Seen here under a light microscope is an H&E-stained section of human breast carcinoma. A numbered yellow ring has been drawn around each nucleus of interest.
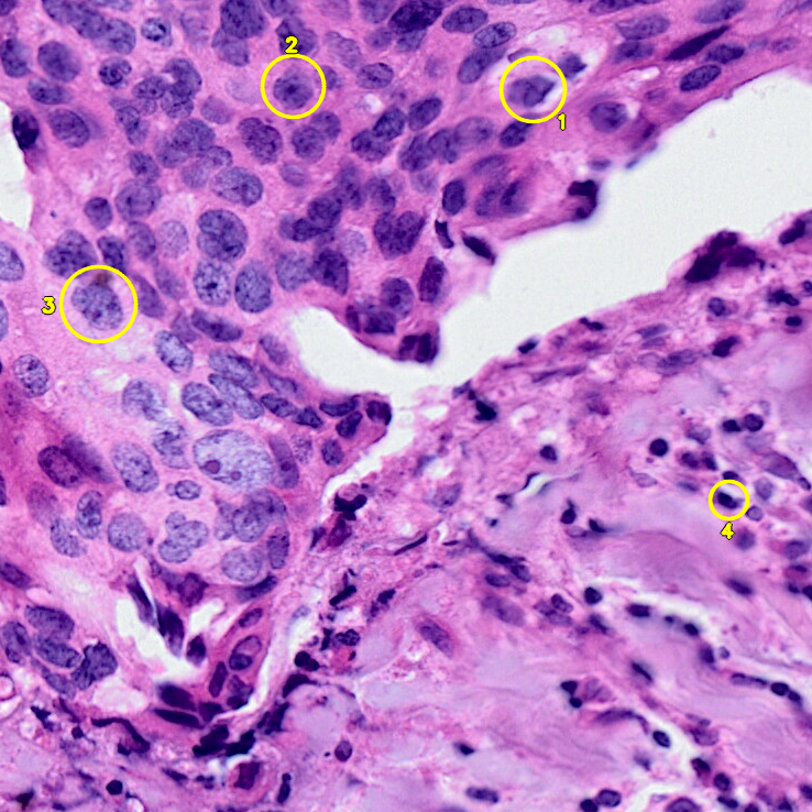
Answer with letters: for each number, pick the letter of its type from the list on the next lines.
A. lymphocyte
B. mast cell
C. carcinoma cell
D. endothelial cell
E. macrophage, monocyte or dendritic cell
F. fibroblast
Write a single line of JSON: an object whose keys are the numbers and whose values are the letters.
{"1": "C", "2": "C", "3": "C", "4": "A"}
